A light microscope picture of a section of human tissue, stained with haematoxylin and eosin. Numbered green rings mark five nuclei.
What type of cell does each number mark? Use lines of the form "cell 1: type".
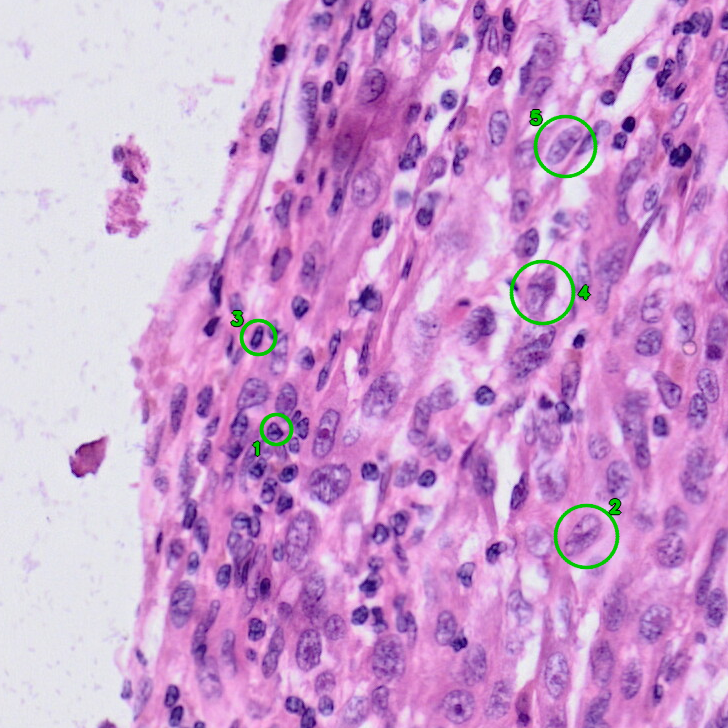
cell 1: lymphocyte
cell 2: melanoma cell
cell 3: lymphocyte
cell 4: melanoma cell
cell 5: melanoma cell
